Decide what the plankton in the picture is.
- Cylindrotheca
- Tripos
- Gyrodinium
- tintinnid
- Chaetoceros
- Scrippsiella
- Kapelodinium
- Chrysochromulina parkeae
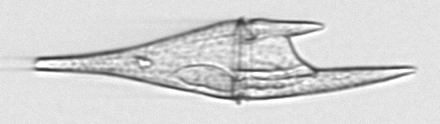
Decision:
Tripos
